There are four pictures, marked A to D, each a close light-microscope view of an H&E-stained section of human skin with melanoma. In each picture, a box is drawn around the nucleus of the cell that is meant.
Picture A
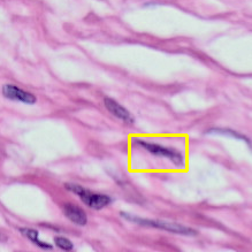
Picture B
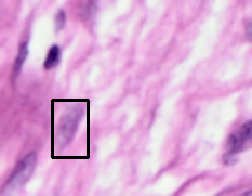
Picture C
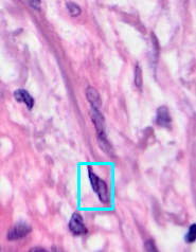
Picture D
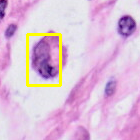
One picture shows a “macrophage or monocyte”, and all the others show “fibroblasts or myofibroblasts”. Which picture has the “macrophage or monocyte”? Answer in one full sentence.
Picture D is the one that shows the “macrophage or monocyte”.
